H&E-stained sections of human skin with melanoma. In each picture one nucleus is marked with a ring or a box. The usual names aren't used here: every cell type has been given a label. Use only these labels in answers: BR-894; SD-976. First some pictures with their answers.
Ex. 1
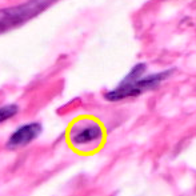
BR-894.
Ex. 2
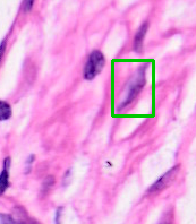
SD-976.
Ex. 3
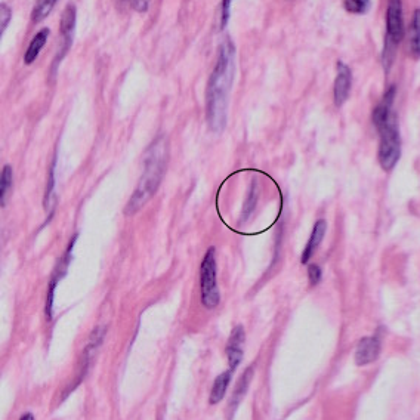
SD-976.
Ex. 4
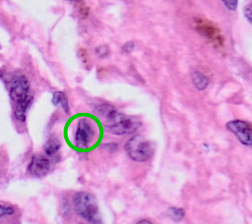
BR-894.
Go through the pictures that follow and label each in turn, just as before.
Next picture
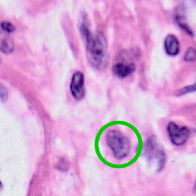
BR-894.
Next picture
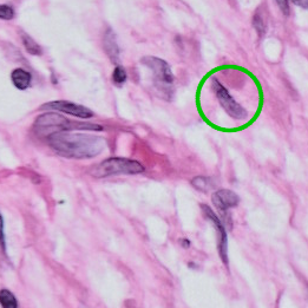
BR-894.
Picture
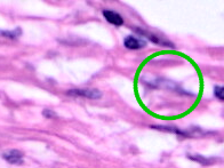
SD-976.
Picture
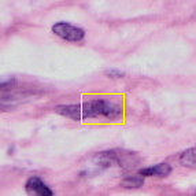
BR-894.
